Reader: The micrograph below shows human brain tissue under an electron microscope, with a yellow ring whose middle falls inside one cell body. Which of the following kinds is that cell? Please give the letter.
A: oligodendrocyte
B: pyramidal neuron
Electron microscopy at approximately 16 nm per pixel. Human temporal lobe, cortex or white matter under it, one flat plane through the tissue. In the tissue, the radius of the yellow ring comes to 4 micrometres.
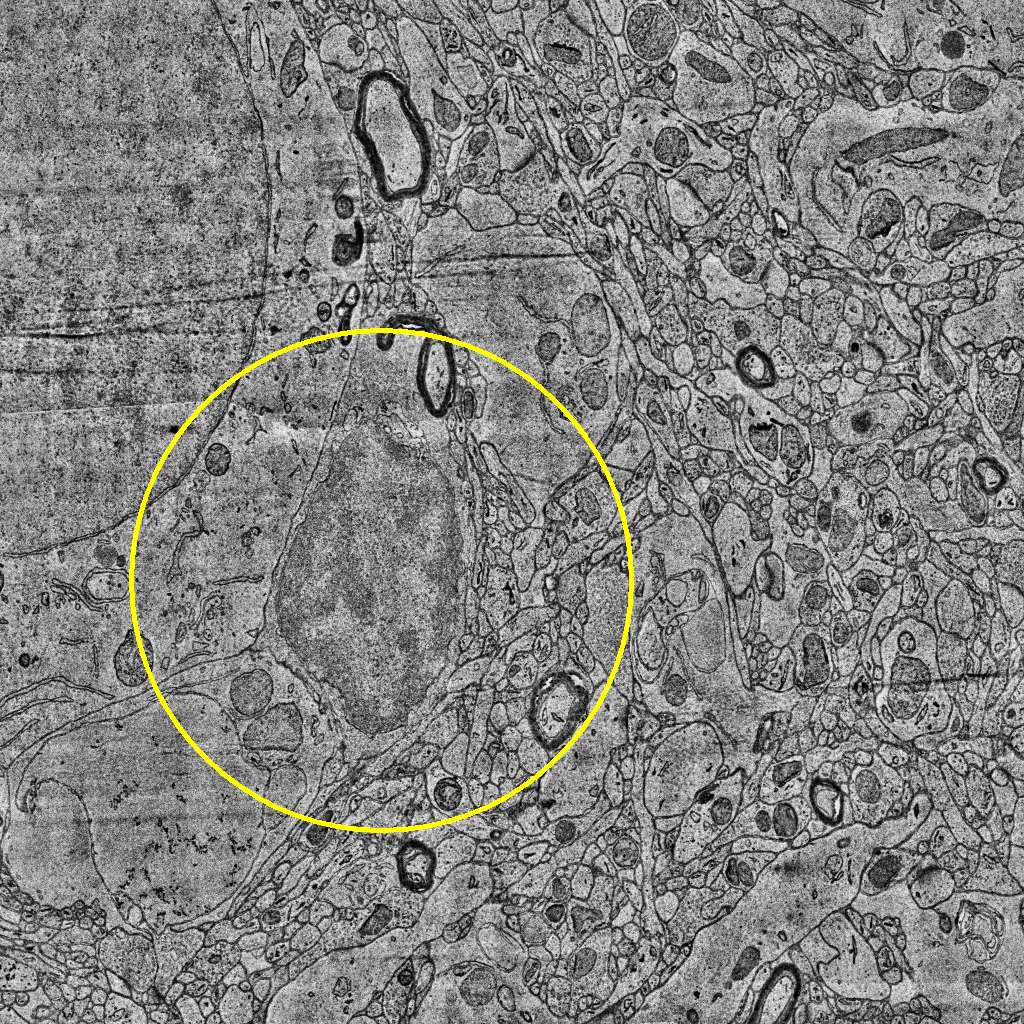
A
